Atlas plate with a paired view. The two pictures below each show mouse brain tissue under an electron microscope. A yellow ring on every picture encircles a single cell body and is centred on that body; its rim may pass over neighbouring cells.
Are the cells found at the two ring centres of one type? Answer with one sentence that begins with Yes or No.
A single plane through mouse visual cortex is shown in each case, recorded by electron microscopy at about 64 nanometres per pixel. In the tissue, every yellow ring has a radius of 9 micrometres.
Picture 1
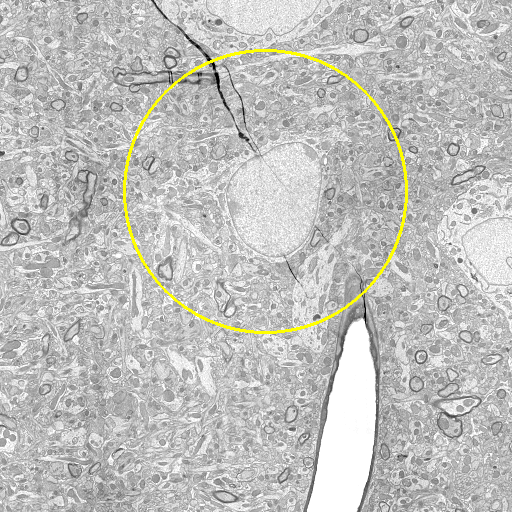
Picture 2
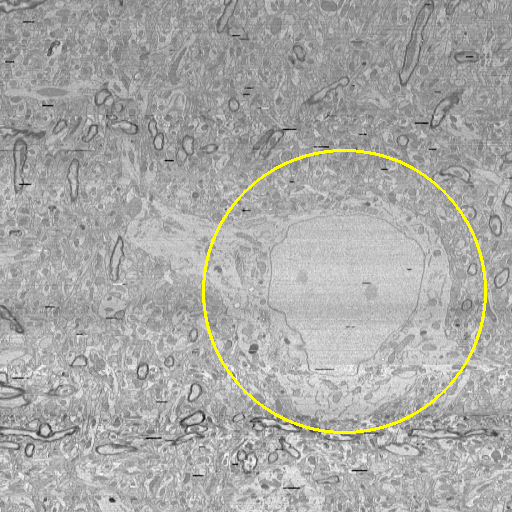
No, the two cells lying at the centres of the rings are of two types.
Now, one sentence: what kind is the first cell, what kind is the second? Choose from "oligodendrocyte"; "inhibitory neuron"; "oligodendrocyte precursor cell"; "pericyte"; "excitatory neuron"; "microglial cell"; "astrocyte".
The first picture has an astrocyte at its ring centre, and the second has an excitatory neuron.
